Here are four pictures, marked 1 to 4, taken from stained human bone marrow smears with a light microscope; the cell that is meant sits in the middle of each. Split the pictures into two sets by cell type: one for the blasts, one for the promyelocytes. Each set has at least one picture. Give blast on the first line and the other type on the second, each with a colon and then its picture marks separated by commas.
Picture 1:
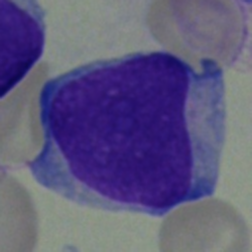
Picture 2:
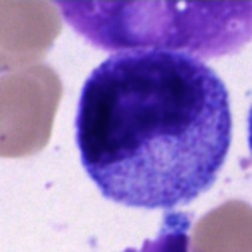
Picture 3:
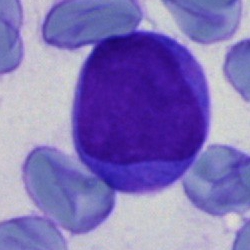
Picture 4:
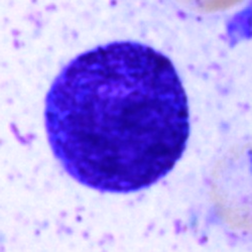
blast: 1, 3
promyelocyte: 2, 4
